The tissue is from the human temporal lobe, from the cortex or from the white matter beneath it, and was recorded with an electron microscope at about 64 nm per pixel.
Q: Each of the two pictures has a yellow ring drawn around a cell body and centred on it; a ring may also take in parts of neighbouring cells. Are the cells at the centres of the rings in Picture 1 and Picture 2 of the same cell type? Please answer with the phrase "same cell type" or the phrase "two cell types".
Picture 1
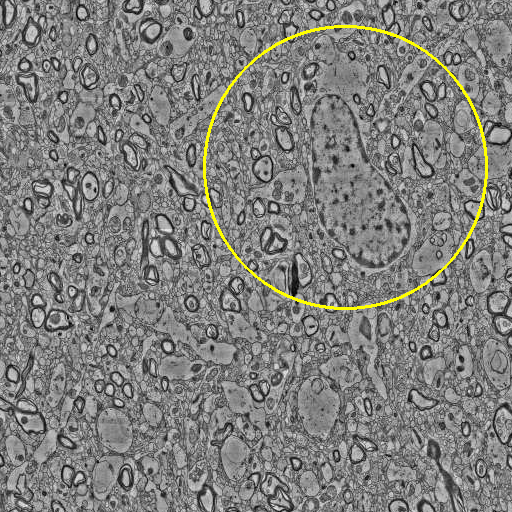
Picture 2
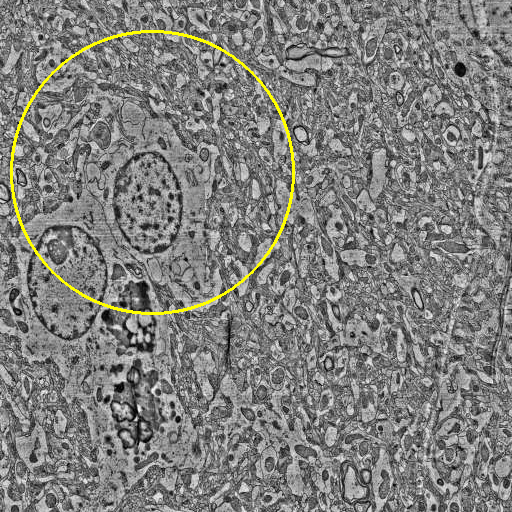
two cell types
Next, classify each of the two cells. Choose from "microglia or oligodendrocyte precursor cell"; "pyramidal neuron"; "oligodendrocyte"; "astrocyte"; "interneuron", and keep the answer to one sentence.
In the first picture it is a microglial cell or oligodendrocyte precursor cell; in the second it is an astrocyte.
